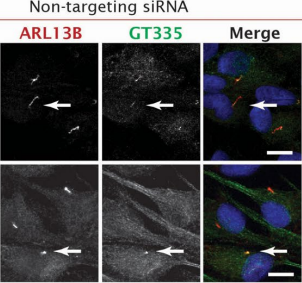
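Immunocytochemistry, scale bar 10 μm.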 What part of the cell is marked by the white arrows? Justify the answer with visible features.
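Cilia. The arrows point to short, thin, rod-like bright structures next to nuclei. In the merged colour images the structures at the arrows are red or yellow rods.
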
